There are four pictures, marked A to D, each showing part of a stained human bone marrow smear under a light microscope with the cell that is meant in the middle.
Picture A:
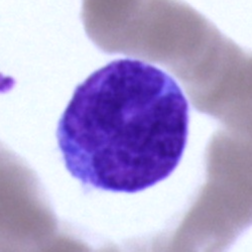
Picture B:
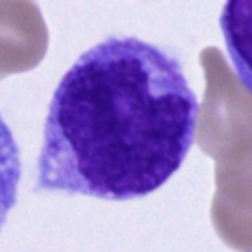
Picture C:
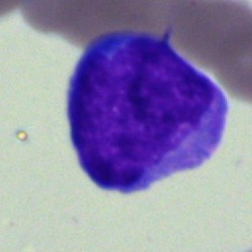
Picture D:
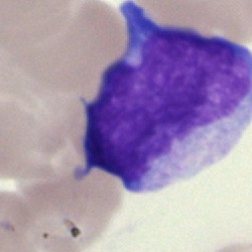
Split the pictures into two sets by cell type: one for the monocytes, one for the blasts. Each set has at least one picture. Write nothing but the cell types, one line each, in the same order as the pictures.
blast
monocyte
blast
blast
